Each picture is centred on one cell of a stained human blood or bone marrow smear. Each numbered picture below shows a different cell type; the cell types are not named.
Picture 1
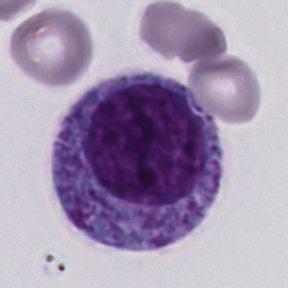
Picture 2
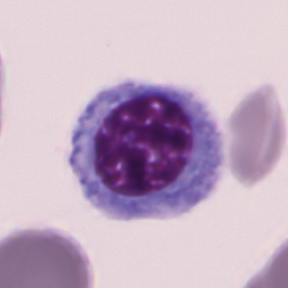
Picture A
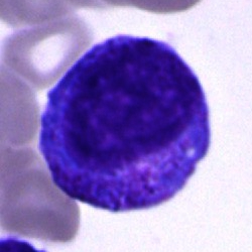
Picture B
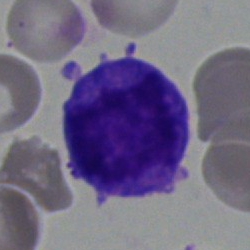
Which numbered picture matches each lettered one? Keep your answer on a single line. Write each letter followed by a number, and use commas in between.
A 1, B 1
